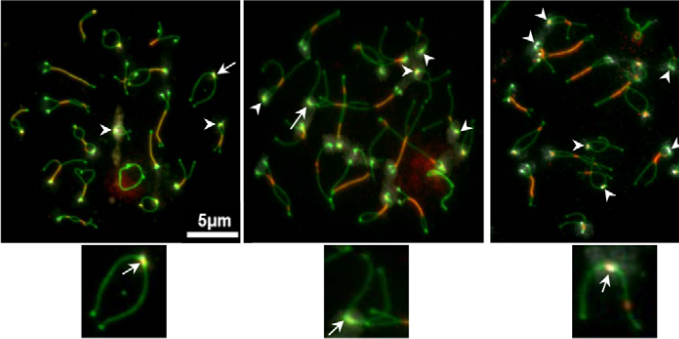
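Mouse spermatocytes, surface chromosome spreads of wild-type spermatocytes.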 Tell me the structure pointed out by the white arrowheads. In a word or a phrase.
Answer: paired centromeres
